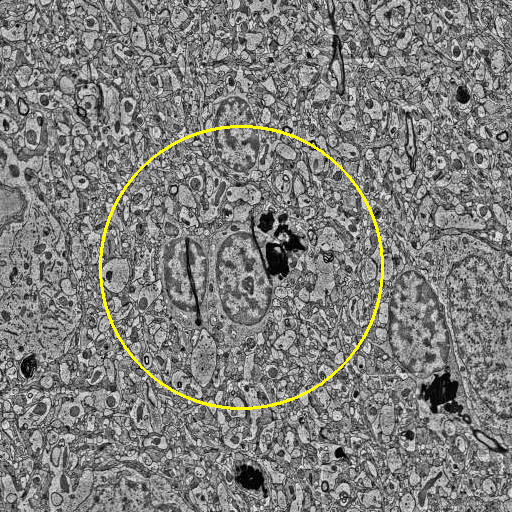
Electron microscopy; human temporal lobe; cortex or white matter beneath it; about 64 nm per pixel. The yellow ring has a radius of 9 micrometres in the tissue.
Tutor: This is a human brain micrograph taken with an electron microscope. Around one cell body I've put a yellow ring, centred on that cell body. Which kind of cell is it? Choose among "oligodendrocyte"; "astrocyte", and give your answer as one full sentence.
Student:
Going by your list, the cell centred in the yellow ring is an oligodendrocyte.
